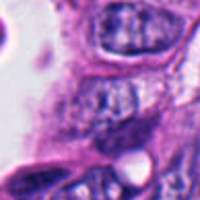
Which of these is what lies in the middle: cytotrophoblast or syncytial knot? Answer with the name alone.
cytotrophoblast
